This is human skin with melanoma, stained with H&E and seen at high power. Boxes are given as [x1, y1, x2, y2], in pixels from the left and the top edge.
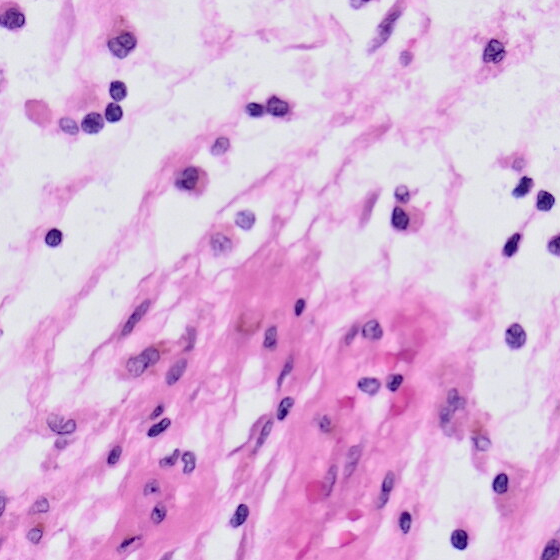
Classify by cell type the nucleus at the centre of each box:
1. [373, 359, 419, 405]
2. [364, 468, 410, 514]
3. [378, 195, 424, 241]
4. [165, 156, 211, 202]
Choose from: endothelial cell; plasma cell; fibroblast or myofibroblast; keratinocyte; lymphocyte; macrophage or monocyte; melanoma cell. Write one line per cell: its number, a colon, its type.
1: lymphocyte
2: macrophage or monocyte
3: macrophage or monocyte
4: macrophage or monocyte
